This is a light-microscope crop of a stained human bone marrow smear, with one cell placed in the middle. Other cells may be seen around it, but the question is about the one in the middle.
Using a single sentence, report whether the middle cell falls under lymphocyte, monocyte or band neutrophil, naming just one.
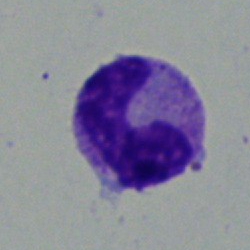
The centrally located cell in the crop is a band neutrophil.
